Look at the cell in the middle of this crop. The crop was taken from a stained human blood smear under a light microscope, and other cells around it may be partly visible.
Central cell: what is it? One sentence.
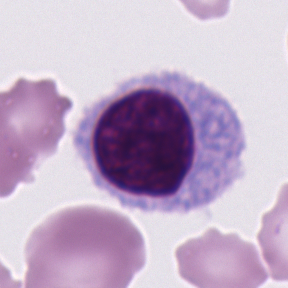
The single cell at the center of the crop is a hairy cell.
